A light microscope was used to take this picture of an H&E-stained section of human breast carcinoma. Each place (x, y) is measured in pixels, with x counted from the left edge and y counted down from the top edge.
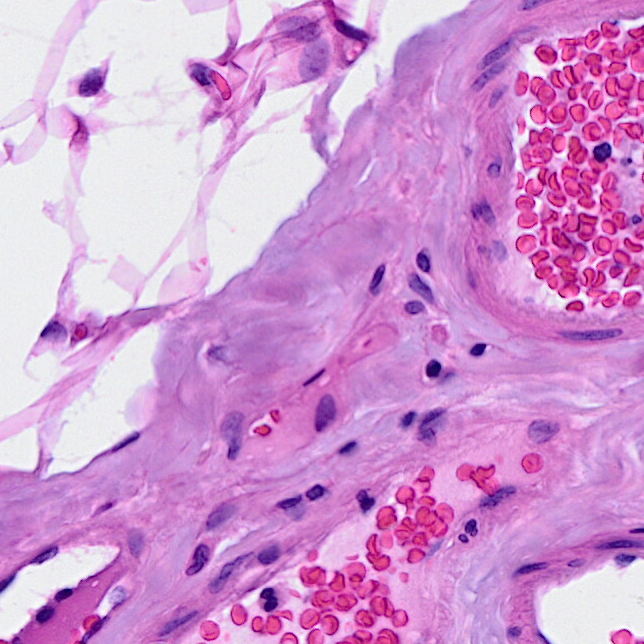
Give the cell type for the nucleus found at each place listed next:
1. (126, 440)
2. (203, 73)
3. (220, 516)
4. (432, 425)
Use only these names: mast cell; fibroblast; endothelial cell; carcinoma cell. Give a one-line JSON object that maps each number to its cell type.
{"1": "fibroblast", "2": "endothelial cell", "3": "fibroblast", "4": "fibroblast"}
